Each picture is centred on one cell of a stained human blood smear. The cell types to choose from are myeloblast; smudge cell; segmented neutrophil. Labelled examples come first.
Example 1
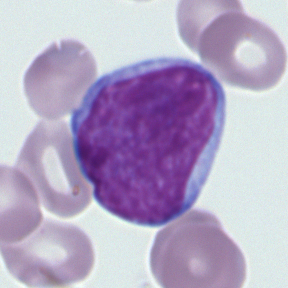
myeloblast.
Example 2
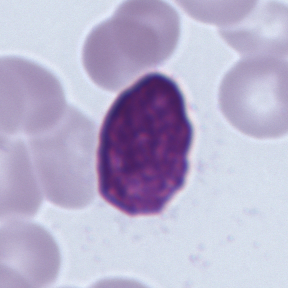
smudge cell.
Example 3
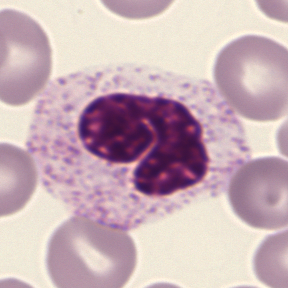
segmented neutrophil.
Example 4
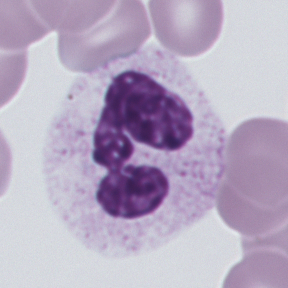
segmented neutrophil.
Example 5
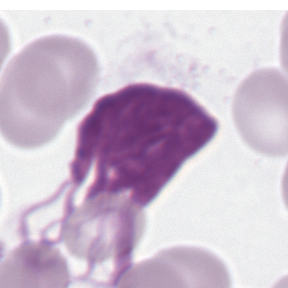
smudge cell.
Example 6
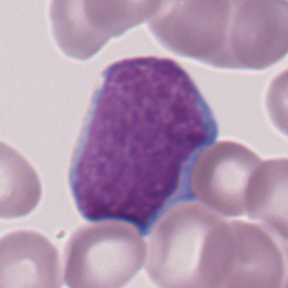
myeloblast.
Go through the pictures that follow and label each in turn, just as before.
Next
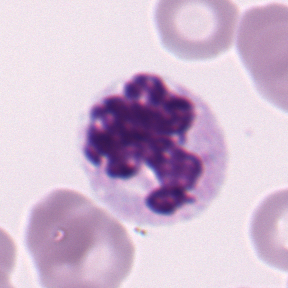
segmented neutrophil.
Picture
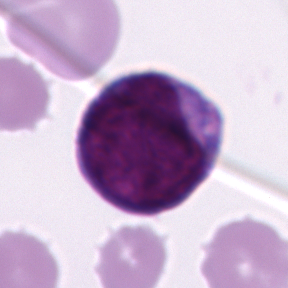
myeloblast.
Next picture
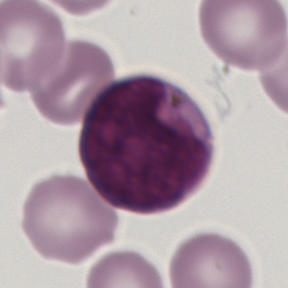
myeloblast.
